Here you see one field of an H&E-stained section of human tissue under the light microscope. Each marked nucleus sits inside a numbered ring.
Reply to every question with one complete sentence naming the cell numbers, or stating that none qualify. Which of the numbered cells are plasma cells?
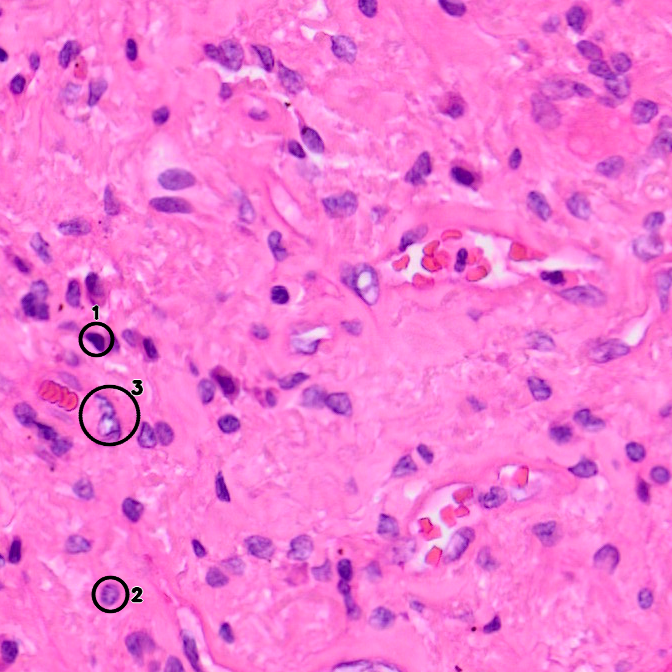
Cell 1 is a plasma cell, and this holds for no other numbered cell.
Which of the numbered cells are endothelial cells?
Of all the numbered cells, only one is an endothelial cell, and that is cell 3.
